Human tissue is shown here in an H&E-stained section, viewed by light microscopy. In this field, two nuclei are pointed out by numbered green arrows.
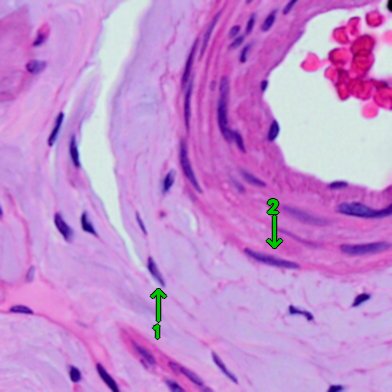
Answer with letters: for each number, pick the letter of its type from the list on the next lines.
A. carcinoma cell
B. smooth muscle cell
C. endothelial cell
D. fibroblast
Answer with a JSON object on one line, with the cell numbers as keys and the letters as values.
{"1": "D", "2": "B"}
